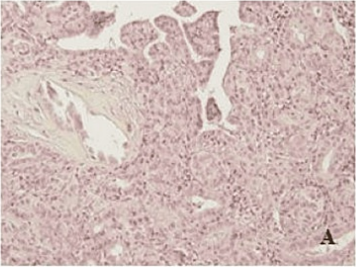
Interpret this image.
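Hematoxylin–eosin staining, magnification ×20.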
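A section of densely packed glandular epithelial tissue stained pink and purple. Cuboidal to columnar cells with pink cytoplasm and small dark purple nuclei line many small, irregular, branching tubules and slit-like spaces, and also form solid sheets between them. Thin strands of stroma separate the glandular units. Toward the upper left lies a rounded, pale, largely acellular area of loose pale material with a few fragments in it, and clear white spaces of varying size are scattered across the field. The architecture is crowded, with little stroma between the glands.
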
